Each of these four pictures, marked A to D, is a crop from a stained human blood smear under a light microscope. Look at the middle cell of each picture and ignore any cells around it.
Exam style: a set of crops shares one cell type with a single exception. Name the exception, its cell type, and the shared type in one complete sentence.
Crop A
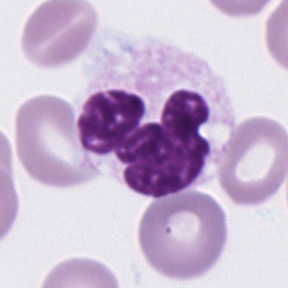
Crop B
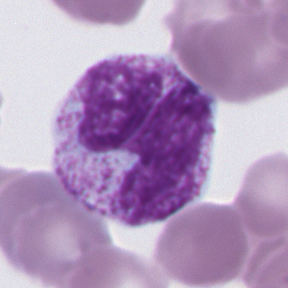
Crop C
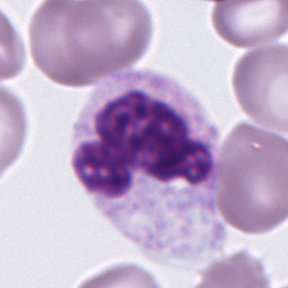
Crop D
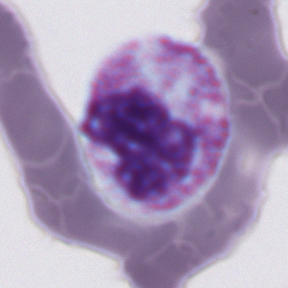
The crop that differs is crop B, showing a band neutrophil; the others show segmented neutrophils.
